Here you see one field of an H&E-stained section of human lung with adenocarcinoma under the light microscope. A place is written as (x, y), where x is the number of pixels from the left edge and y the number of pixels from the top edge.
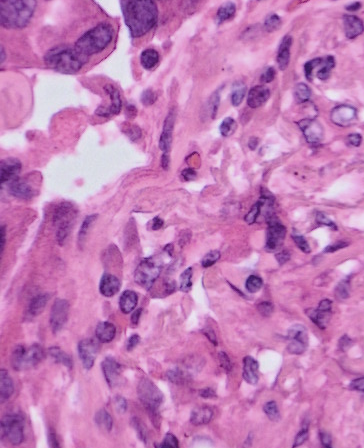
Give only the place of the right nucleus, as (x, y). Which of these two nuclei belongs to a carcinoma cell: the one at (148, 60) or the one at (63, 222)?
(63, 222)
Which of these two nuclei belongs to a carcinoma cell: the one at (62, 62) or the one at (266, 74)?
(62, 62)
